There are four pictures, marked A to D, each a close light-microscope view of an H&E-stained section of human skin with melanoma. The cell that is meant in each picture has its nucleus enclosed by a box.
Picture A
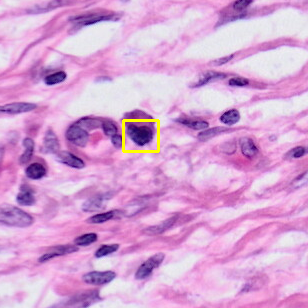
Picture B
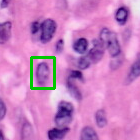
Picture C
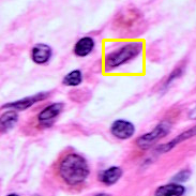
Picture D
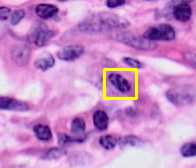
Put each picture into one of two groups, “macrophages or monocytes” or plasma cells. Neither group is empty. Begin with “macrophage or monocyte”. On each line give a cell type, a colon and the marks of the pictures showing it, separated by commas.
macrophage or monocyte: B, C
plasma cell: A, D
